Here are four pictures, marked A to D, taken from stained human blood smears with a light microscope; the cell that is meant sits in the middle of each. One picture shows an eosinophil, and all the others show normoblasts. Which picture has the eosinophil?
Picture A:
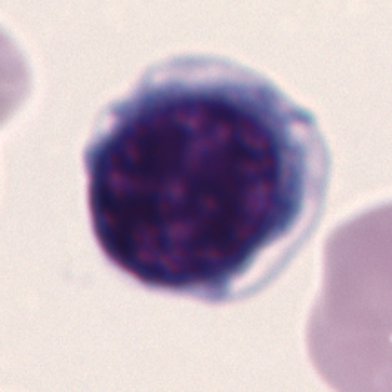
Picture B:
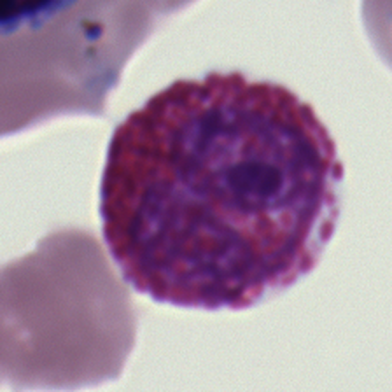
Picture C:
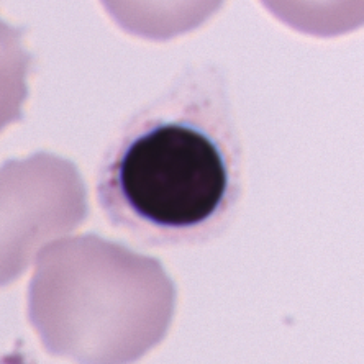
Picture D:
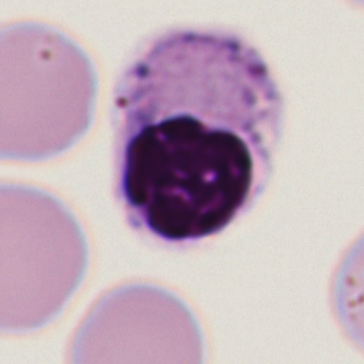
B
